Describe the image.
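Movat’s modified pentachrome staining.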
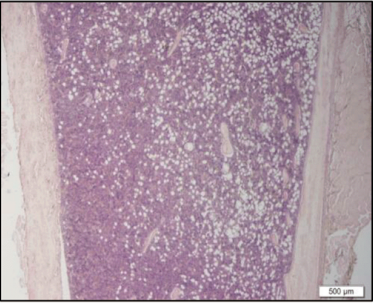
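This low-magnification section shows bone marrow filling a cavity, with many marrow fat cells visible as small, round, empty white spaces. Pale, elongated channels of blood vessels run through the marrow in places. Pale pink to greyish bands of bone border the marrow on the left and right.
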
